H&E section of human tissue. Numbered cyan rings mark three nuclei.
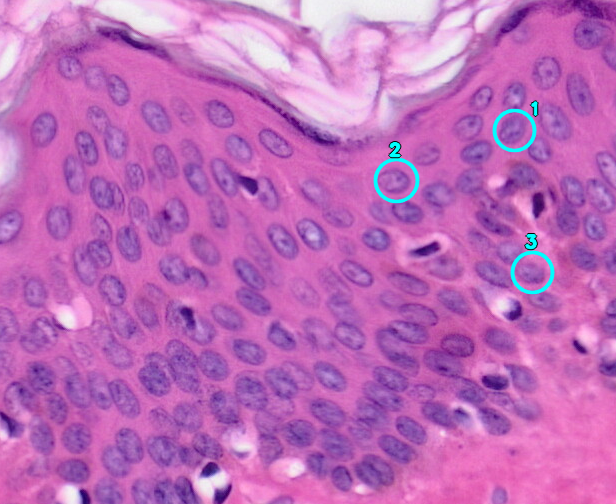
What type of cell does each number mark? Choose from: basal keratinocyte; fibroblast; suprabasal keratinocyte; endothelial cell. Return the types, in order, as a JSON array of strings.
["suprabasal keratinocyte", "suprabasal keratinocyte", "basal keratinocyte"]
